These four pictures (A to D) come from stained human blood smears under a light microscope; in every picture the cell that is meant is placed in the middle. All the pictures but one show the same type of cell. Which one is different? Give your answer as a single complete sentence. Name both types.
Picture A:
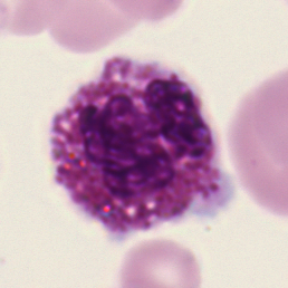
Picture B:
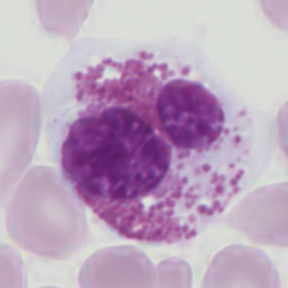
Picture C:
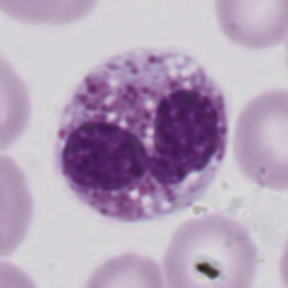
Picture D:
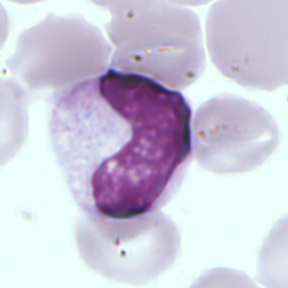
Unlike the rest, which show eosinophils, picture D shows a band neutrophil.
